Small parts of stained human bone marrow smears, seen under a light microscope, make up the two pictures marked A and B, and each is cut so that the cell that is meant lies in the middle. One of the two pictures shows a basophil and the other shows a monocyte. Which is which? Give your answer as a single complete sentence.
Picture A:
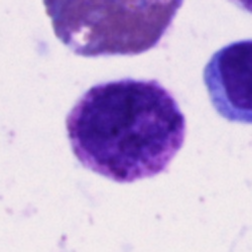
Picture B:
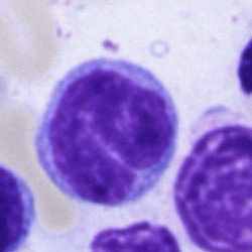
It is picture A that shows a basophil, and picture B that shows a monocyte.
